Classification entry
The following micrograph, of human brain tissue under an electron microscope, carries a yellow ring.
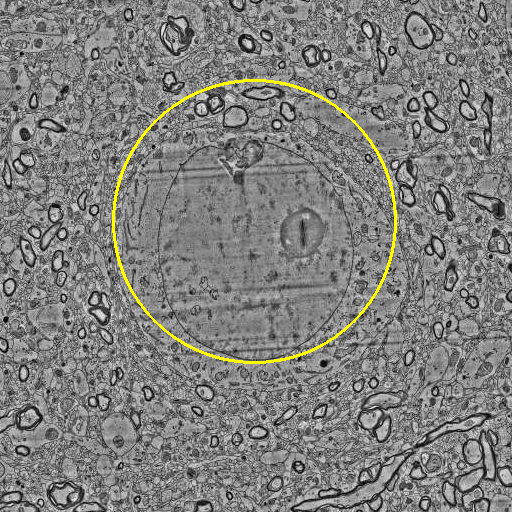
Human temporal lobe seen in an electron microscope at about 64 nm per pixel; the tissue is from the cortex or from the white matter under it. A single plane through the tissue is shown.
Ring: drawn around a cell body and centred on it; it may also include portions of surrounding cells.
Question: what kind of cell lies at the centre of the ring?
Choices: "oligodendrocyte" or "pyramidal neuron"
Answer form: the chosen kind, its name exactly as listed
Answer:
pyramidal neuron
